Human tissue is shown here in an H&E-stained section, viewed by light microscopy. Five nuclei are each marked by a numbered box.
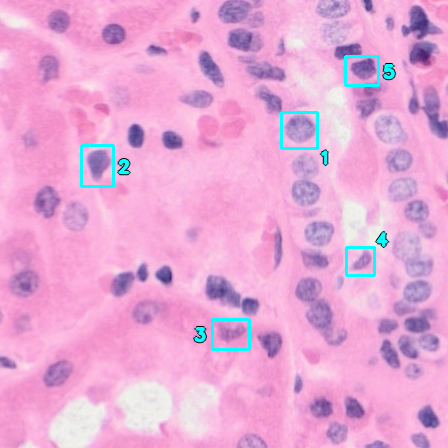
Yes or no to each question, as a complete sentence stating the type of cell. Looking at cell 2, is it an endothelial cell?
Yes, what number 2 marks is an endothelial cell.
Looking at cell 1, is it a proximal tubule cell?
No, the one with number 1 is a collecting duct cell, not a proximal tubule cell.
